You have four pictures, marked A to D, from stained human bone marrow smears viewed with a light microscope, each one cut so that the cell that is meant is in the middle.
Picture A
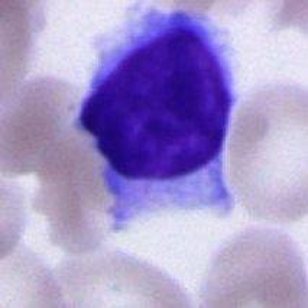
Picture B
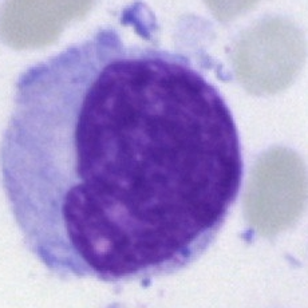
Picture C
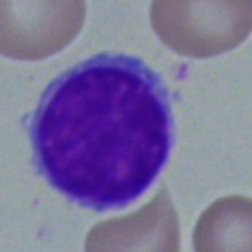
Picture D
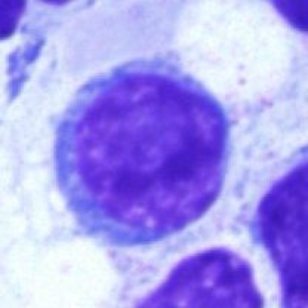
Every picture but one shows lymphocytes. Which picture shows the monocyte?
B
